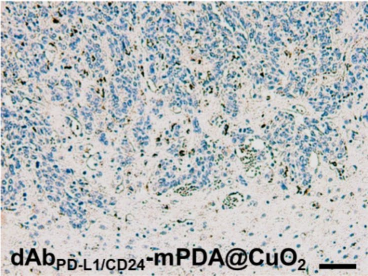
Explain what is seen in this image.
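This is a section of tumor tissue with densely packed tumor cells whose oval to irregular nuclei are stained blue. The cell-rich area in the upper part gives way below to a paler, looser region with fewer, more spread-out nuclei.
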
